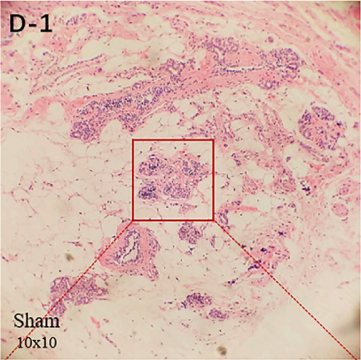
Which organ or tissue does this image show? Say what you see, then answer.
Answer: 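Small clusters of glandular lobules with purple epithelial nuclei. Lobules lie scattered in pale fatty stroma. That points to this answer: mammary gland.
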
